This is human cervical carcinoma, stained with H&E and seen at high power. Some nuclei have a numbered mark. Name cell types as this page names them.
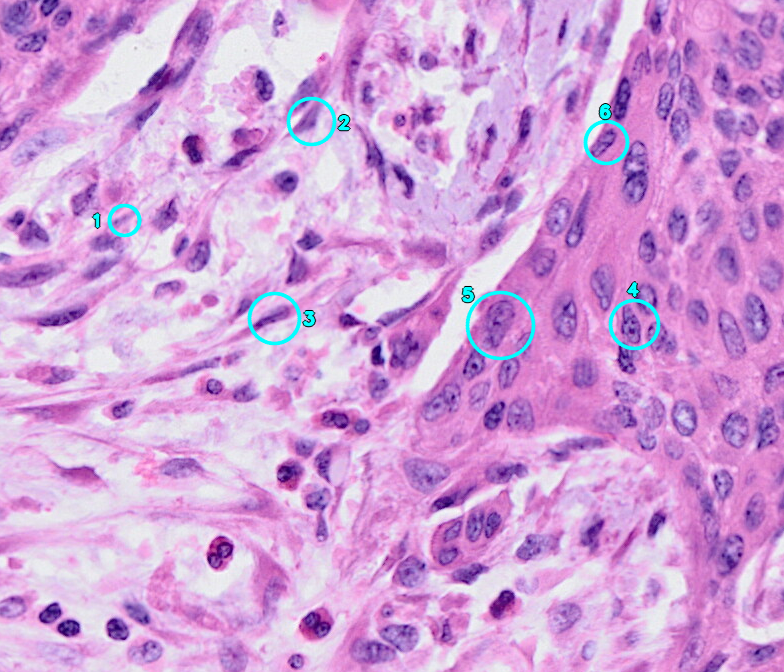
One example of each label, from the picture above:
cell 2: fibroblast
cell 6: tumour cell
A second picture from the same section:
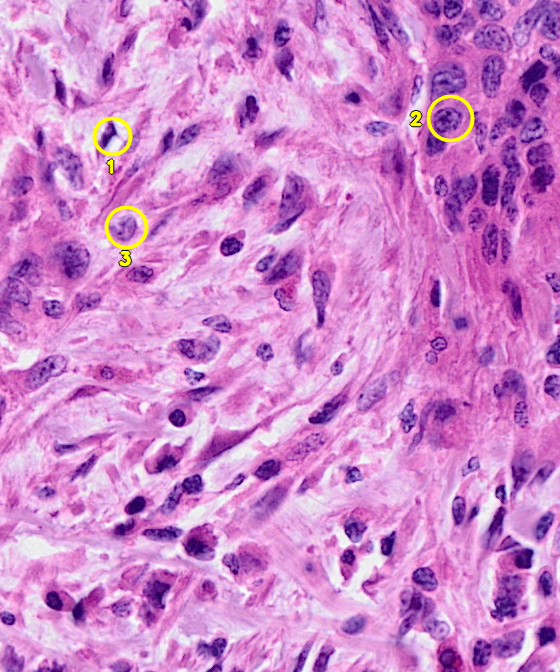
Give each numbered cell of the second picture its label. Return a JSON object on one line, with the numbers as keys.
{"1": "fibroblast", "2": "tumour cell", "3": "fibroblast"}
